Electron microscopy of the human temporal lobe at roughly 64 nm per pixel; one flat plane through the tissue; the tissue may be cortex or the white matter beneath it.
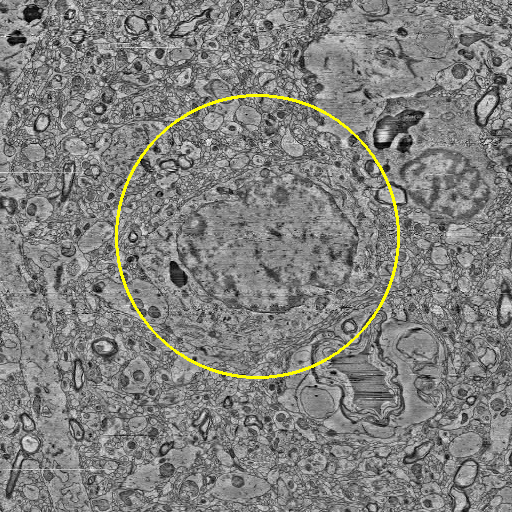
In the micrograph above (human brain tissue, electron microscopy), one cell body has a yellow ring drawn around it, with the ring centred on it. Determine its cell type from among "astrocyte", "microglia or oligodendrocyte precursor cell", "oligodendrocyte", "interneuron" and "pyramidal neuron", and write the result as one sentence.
The cell whose body is ringed is an interneuron.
